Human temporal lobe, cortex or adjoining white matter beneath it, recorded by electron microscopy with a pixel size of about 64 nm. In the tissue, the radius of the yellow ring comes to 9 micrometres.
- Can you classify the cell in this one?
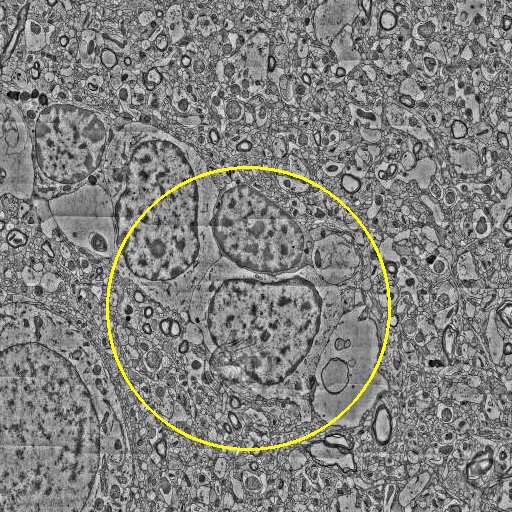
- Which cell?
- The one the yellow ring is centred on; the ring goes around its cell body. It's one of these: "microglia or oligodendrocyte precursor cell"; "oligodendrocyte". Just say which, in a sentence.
The cell body in the ring belongs to a microglial cell or oligodendrocyte precursor cell.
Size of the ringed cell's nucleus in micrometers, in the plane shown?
The nucleus is about 7 micrometres across in this plane.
